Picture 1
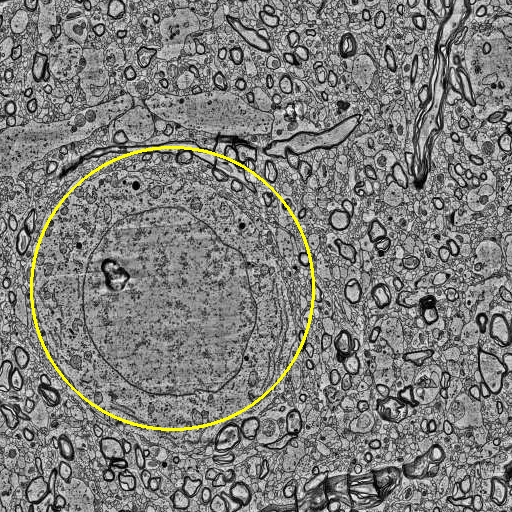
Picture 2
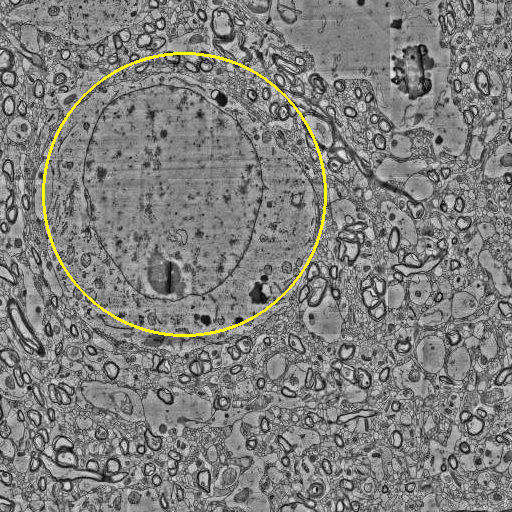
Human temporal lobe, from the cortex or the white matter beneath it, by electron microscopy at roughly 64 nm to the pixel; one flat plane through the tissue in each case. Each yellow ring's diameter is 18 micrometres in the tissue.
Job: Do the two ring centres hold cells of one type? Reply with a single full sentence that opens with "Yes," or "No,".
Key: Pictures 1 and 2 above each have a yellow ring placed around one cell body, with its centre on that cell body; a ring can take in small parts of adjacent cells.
Yes, the cells at the two ring centres are of one single type.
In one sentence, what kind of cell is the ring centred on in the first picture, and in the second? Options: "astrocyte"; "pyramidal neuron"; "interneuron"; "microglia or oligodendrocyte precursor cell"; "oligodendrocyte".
Each cell, in the first picture and the second, is a pyramidal neuron.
